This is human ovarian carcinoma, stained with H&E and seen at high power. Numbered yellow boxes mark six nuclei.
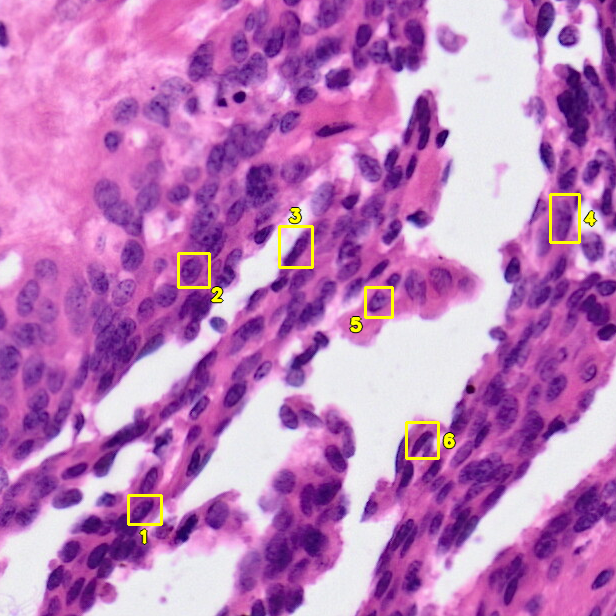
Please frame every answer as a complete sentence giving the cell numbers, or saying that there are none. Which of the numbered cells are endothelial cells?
Among the numbered cells, the one that is an endothelial cell is cell 5 alone.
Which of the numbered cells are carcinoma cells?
The cells with the numbers 1, 2, 3 and 4 are carcinoma cells.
